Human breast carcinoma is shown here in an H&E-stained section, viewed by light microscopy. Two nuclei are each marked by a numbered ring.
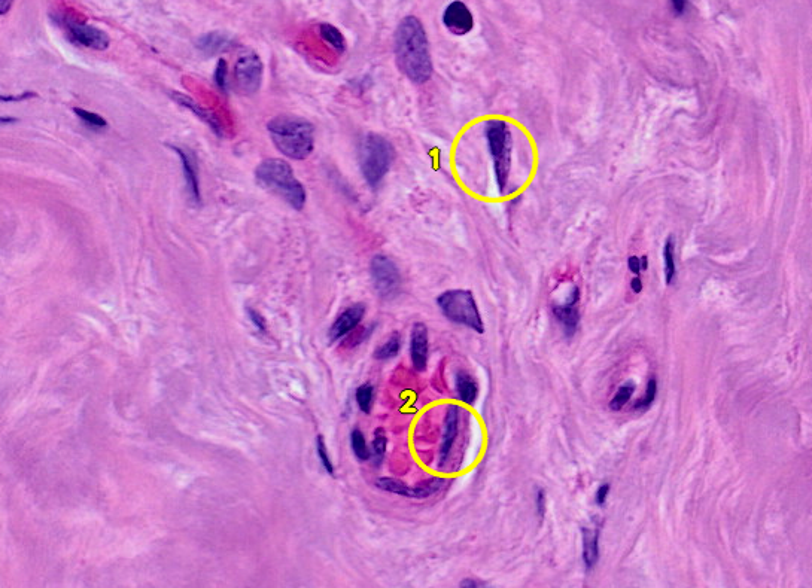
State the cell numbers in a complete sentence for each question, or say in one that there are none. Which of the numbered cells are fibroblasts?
Cell 1 is the one numbered cell that is a fibroblast.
